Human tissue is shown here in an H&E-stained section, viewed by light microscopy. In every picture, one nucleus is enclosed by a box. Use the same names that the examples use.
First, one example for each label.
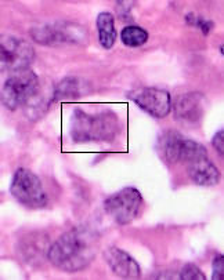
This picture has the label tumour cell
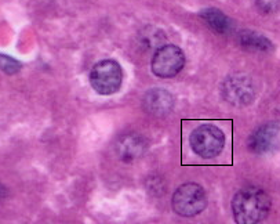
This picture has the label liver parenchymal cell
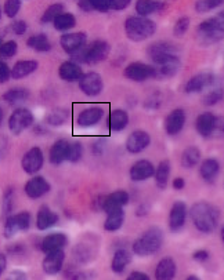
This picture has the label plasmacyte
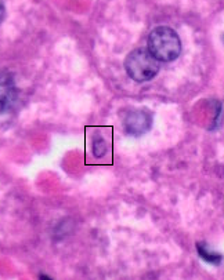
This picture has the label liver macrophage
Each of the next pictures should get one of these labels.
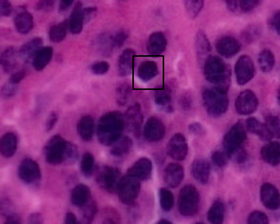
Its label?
plasmacyte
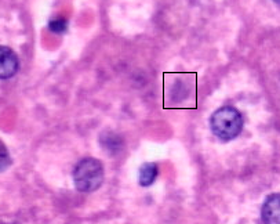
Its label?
liver parenchymal cell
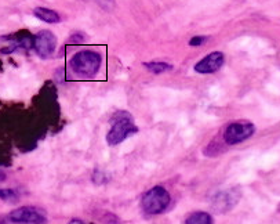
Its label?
plasmacyte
